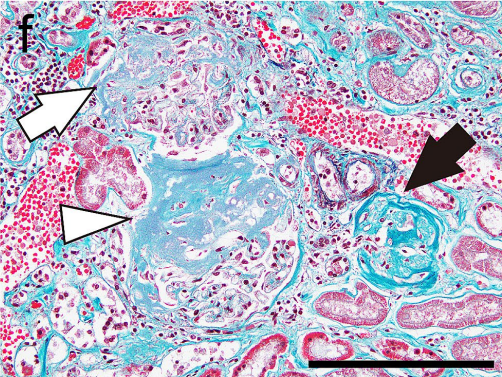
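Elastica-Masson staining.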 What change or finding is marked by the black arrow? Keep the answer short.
Global sclerosis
